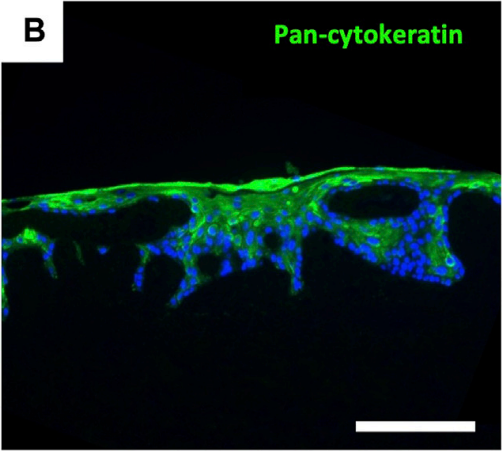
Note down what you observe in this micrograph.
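A bright, continuous green band runs along the top surface, and beneath it the cells form a thick, irregular layer. Cords and clusters of cells push down into the dark, unstained substrate, and one rounded hollow space is ringed by green cells. The deeper clusters are crowded with closely packed blue nuclei.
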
